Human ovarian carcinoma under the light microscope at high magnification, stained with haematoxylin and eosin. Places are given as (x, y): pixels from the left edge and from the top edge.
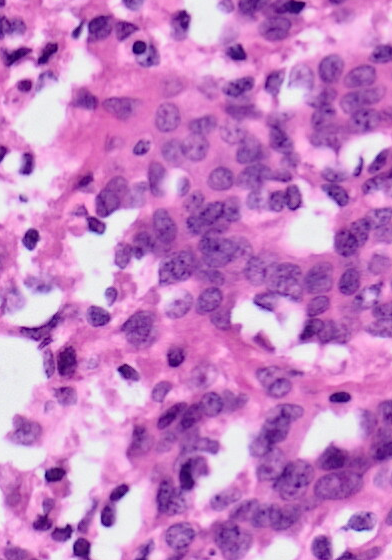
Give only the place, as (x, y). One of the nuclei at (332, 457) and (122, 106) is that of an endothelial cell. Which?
(122, 106)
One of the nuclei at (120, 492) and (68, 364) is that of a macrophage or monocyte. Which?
(68, 364)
